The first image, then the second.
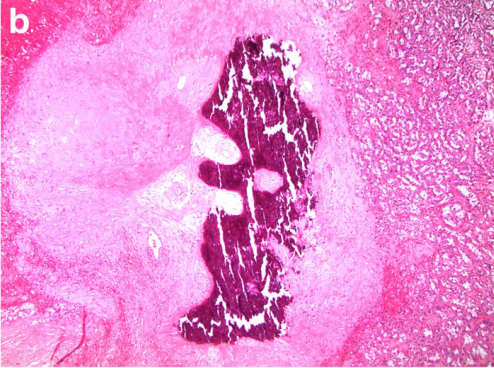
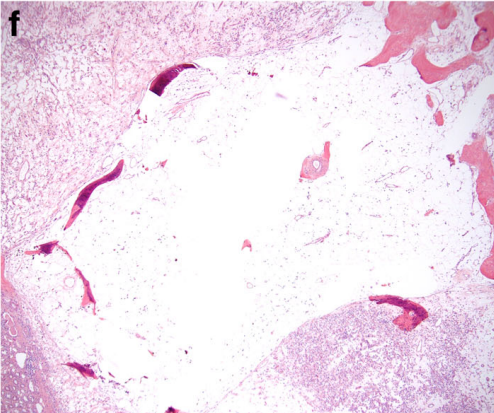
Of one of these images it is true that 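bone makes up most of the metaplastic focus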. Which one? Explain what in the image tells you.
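The first image. Second image: a wide pale, loose area with only thin scattered slivers of dark hard tissue. First image: a large solid dark purple mass of hard tissue fills the centre of the focus.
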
